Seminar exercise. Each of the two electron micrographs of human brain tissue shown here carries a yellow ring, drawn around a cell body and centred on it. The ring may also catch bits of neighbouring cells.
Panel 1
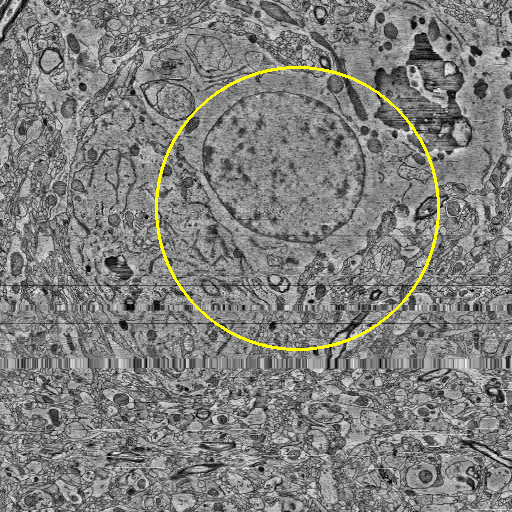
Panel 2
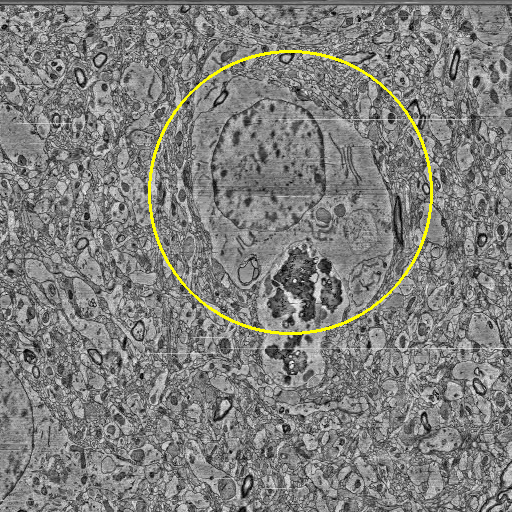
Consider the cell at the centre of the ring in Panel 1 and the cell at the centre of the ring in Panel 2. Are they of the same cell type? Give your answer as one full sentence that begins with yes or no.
Yes, both cells are of the same type.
